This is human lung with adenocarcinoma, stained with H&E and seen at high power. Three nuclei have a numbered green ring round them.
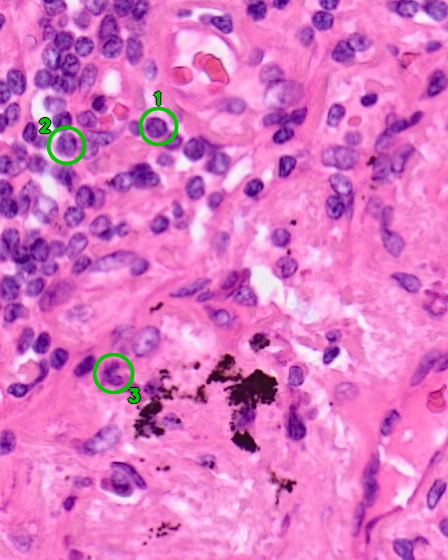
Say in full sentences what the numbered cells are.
Cell 1 is a lymphocyte, cell 2 is a lymphocyte and cell 3 is a plasma cell.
